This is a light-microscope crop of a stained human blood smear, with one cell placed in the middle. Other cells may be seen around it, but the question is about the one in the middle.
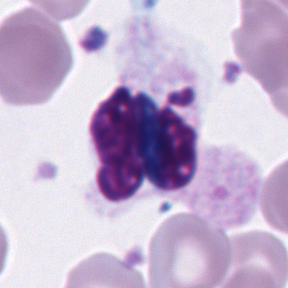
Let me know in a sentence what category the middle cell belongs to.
By classification, the middle cell of this crop is a segmented neutrophil.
